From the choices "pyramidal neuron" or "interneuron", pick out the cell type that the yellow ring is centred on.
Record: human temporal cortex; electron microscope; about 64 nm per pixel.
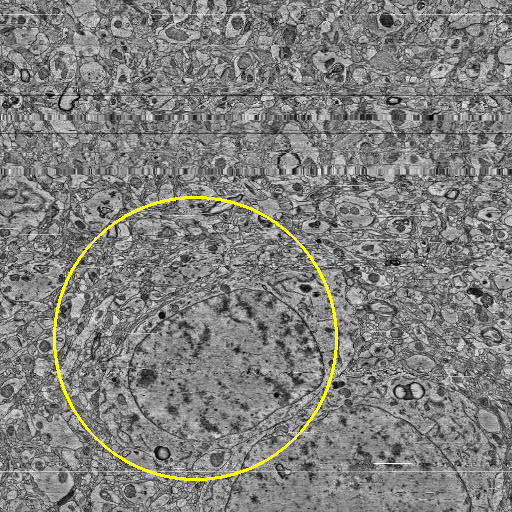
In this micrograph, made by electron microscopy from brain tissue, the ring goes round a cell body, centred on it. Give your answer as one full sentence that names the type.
The yellow ring is centred on a pyramidal neuron, whose cell body it encircles in the picture.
